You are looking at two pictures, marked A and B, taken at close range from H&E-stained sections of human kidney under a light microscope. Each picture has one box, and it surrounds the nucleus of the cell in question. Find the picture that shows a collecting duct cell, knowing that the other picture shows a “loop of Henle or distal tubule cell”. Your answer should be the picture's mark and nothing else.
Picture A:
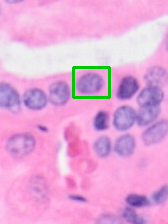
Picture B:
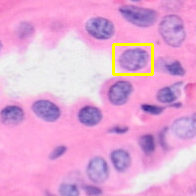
A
